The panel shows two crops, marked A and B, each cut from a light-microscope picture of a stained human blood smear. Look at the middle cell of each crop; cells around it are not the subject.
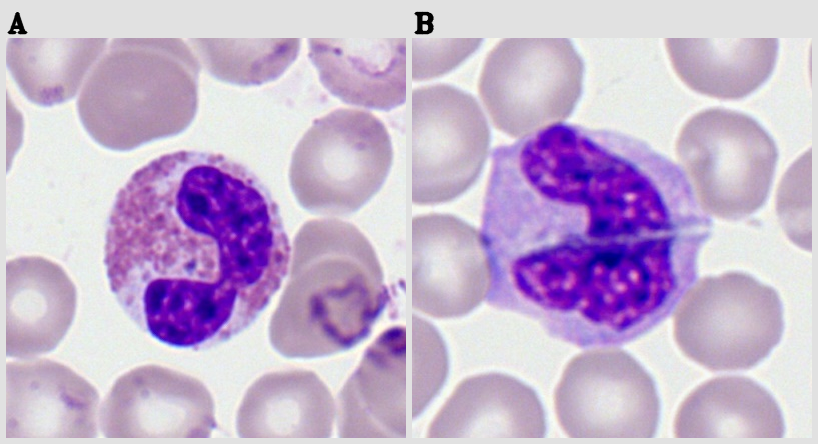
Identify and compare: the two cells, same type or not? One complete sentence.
No, it is crop A that shows an eosinophil, and crop B shows a monocyte.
